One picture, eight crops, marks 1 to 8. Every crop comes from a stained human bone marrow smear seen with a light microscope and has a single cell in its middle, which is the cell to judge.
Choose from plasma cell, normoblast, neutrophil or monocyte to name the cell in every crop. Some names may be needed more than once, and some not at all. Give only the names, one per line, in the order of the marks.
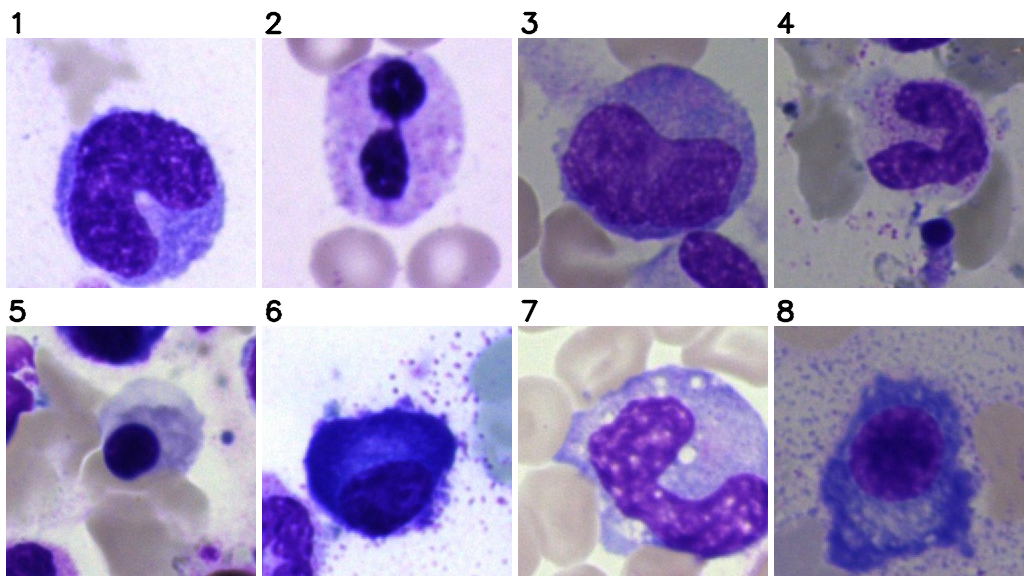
monocyte
neutrophil
monocyte
neutrophil
normoblast
plasma cell
monocyte
plasma cell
